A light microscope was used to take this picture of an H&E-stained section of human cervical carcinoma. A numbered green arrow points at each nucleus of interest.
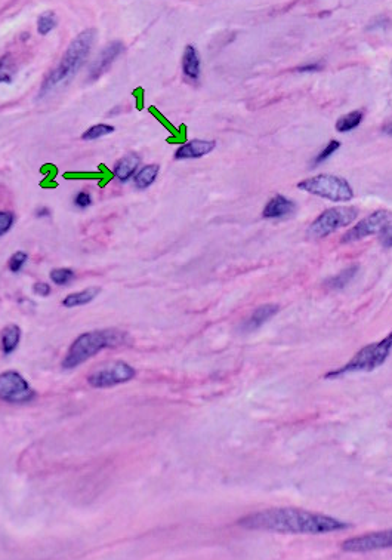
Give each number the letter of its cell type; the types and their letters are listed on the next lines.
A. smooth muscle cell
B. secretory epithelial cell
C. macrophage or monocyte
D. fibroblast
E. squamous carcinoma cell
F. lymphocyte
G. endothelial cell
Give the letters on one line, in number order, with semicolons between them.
D; A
